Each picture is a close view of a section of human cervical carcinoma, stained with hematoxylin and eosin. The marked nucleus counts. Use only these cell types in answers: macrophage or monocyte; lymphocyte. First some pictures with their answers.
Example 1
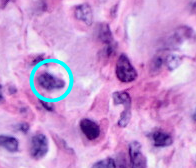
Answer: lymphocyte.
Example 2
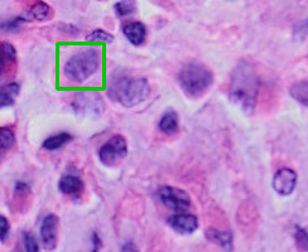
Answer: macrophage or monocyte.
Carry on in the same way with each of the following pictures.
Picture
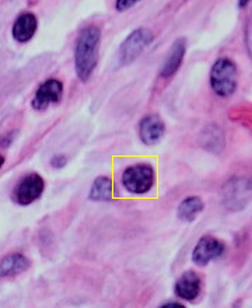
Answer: lymphocyte.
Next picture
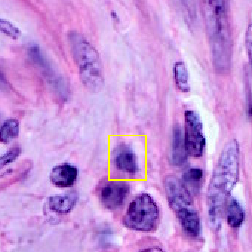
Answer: lymphocyte.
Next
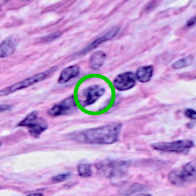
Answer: lymphocyte.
